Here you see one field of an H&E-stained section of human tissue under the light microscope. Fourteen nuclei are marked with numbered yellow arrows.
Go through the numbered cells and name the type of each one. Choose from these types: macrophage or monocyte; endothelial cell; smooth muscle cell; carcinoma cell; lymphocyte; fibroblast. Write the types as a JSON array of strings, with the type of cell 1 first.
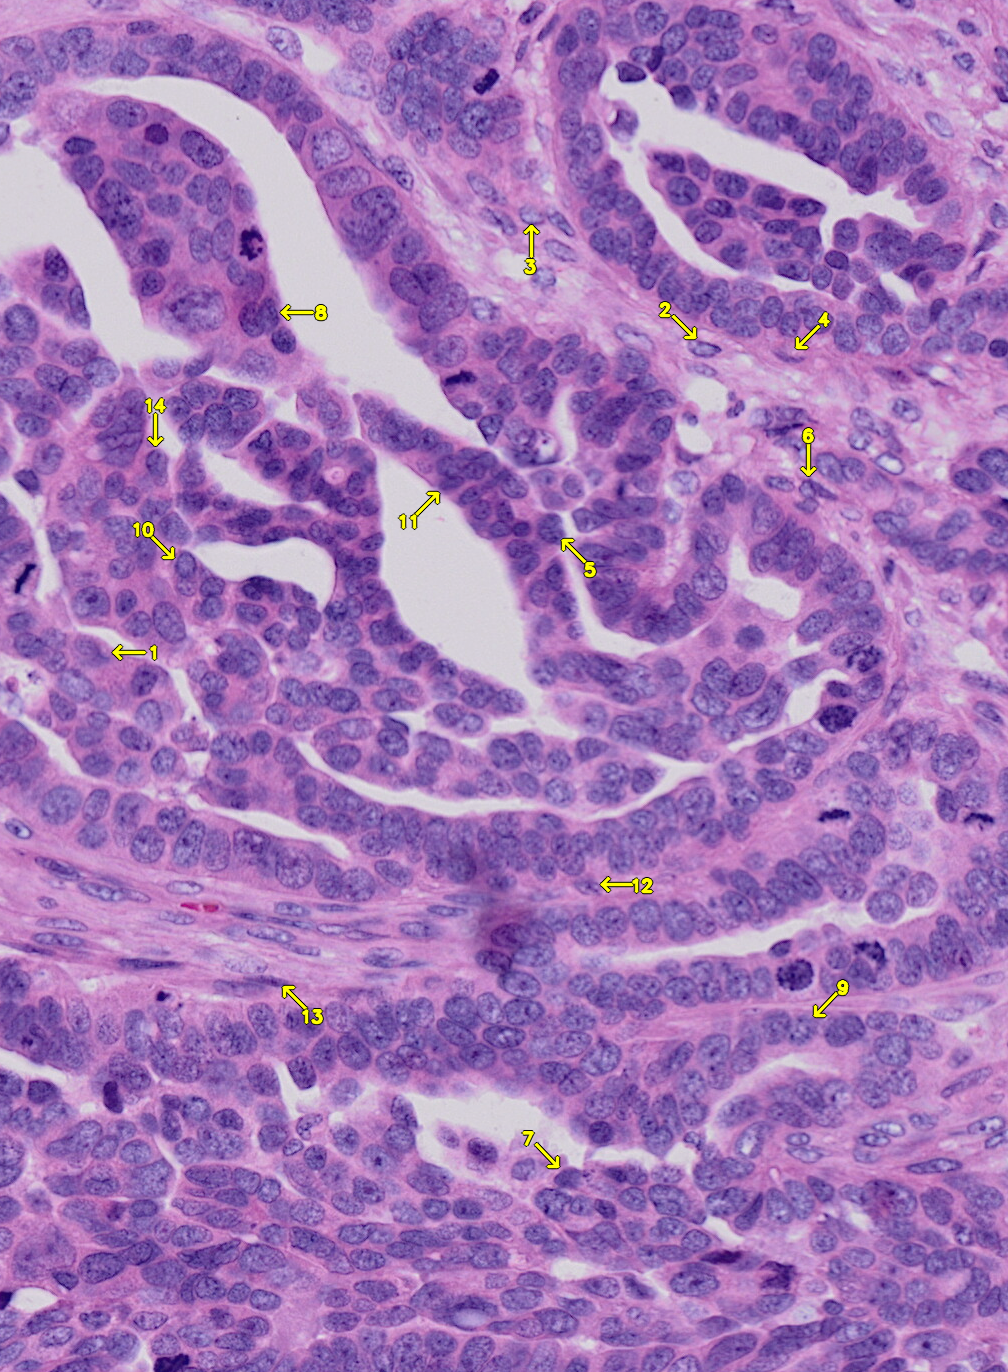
["carcinoma cell", "fibroblast", "fibroblast", "fibroblast", "carcinoma cell", "fibroblast", "carcinoma cell", "carcinoma cell", "carcinoma cell", "carcinoma cell", "carcinoma cell", "macrophage or monocyte", "fibroblast", "carcinoma cell"]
